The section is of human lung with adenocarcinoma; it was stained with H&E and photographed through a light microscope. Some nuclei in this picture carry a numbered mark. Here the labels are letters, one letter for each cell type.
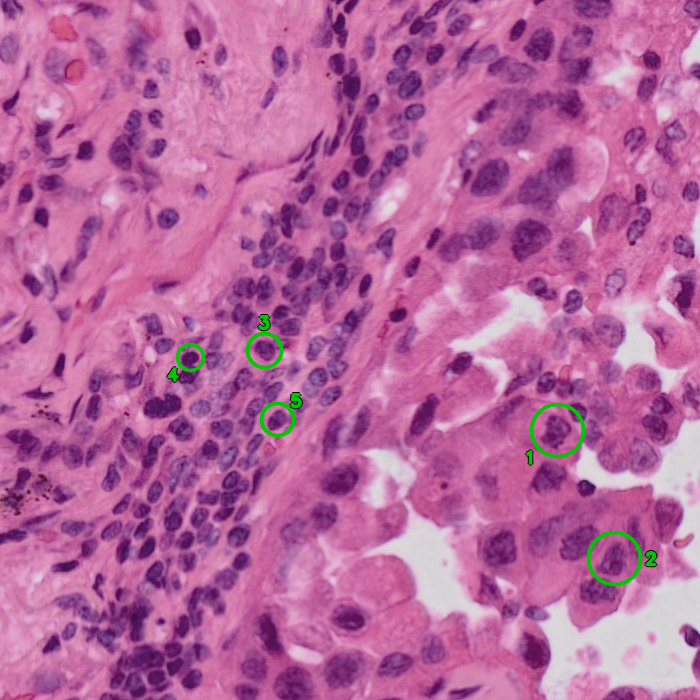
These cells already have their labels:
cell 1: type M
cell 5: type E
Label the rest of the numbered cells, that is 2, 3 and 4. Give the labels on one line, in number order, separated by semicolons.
type M; type E; type E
